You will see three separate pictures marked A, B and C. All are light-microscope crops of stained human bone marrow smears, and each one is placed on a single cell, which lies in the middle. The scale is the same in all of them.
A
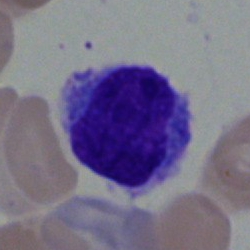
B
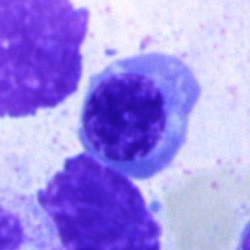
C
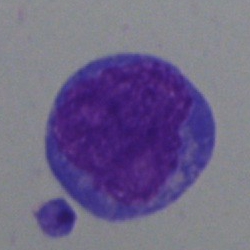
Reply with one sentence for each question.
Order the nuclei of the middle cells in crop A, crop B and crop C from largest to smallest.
The order is C, A, B, beginning with the largest.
